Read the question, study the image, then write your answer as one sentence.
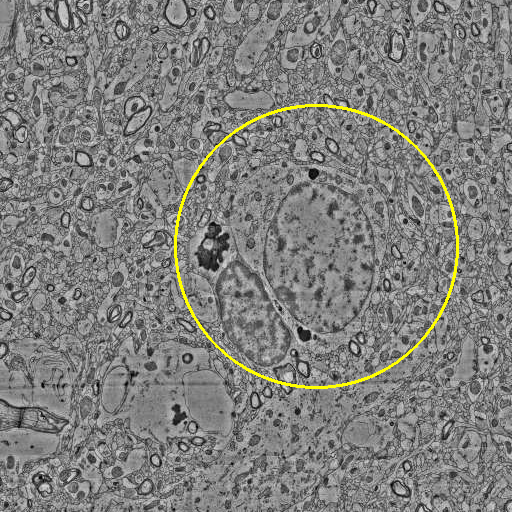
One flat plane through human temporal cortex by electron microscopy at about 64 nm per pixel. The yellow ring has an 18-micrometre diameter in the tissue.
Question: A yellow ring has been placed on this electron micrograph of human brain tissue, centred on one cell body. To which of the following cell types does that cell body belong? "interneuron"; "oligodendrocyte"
That cell body belongs to an interneuron.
